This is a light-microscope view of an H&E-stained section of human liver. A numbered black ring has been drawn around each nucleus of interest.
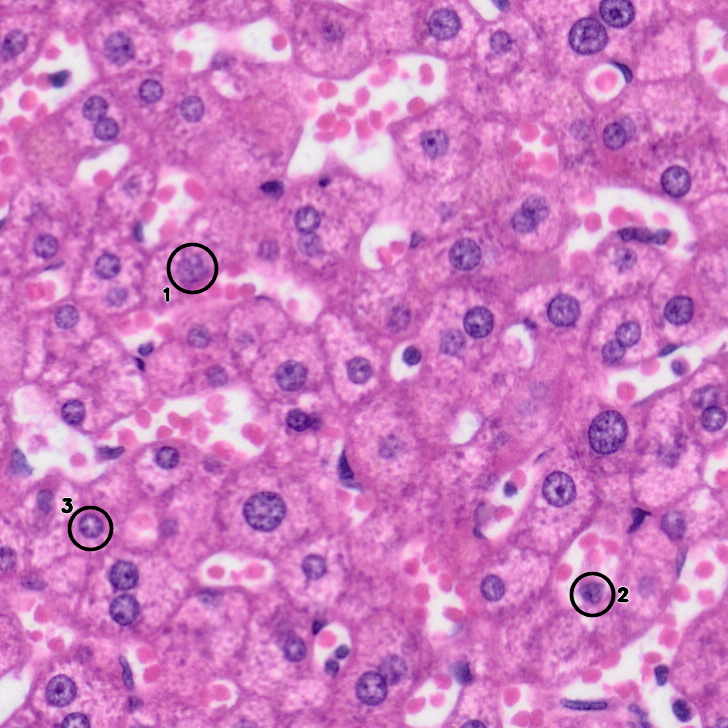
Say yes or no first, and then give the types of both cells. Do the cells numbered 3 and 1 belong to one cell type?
Yes, cell 3 is among the hepatocytes, and cell 1 is as well.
